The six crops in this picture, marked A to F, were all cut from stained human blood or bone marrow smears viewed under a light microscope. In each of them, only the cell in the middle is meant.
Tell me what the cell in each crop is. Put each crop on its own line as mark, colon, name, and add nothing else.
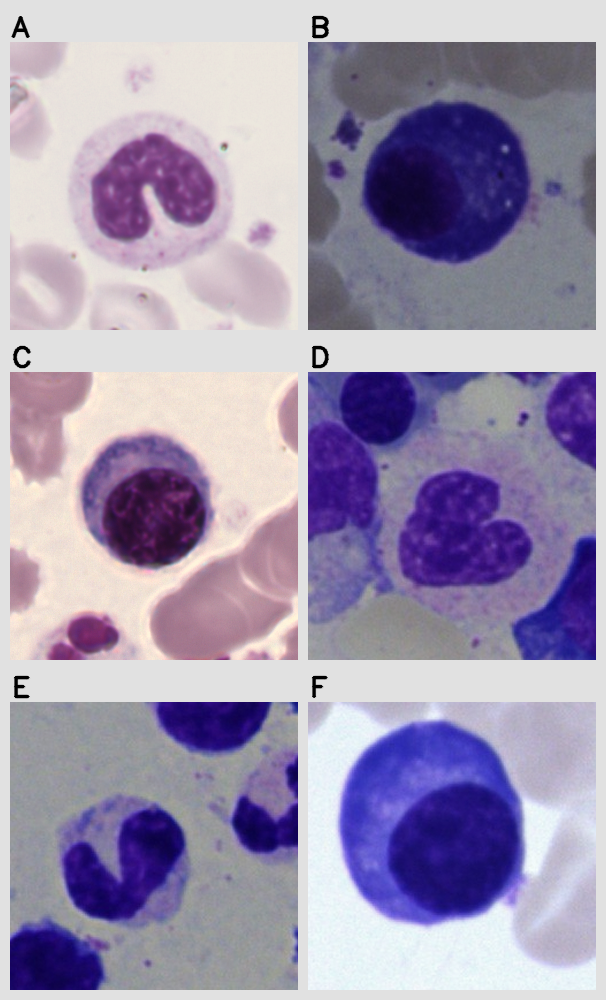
A: band neutrophil
B: plasma cell
C: plasma cell
D: band neutrophil
E: band neutrophil
F: plasma cell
